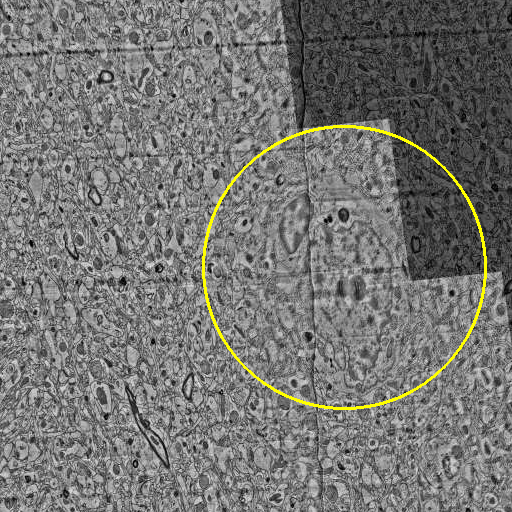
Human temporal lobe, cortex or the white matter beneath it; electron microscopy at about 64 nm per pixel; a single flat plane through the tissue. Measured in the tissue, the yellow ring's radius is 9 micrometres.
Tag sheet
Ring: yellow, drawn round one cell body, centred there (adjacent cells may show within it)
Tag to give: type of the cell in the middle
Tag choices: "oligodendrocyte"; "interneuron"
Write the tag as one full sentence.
I tag the cell centred in the yellow ring as an interneuron in this picture.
